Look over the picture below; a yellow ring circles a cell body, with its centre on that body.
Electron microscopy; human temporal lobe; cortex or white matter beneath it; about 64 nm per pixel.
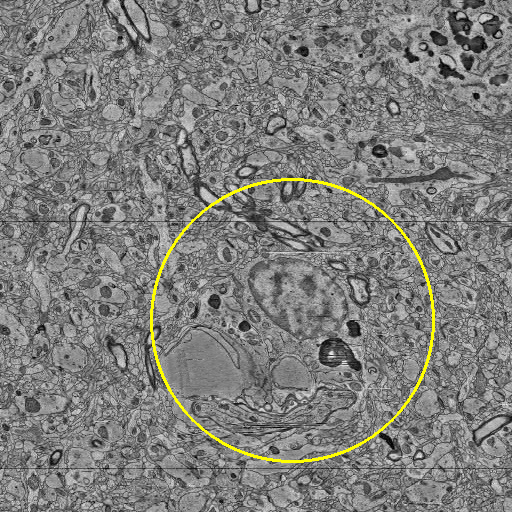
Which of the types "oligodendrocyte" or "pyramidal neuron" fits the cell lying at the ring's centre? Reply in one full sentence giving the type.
The picture shows an oligodendrocyte at the centre of the yellow ring.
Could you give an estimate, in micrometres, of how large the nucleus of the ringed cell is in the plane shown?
In this plane, about 7 micrometres in length and 5 in width.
